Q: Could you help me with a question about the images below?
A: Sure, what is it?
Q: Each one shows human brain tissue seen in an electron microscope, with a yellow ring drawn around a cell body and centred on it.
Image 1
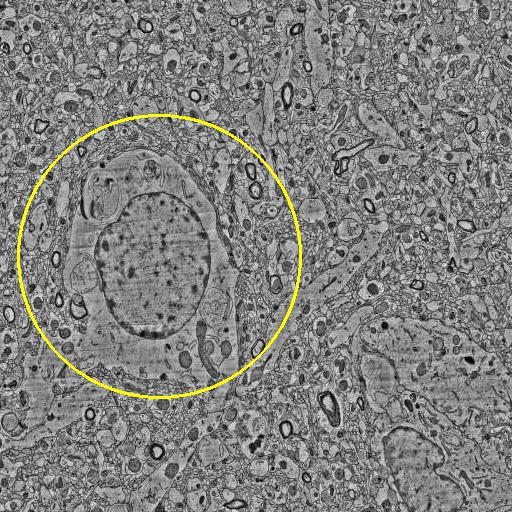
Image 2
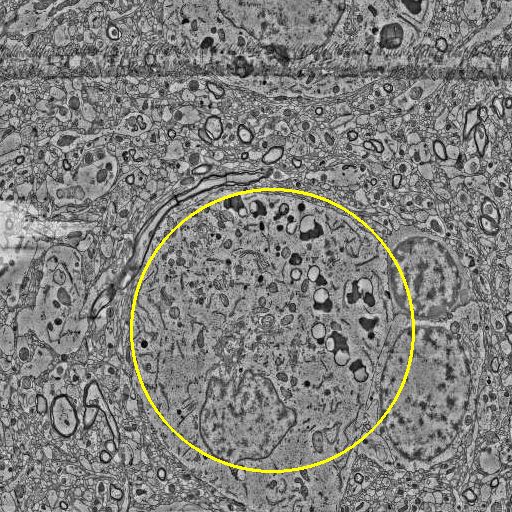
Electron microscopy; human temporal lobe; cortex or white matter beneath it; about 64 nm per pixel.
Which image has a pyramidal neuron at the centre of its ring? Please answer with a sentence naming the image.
Image 2 has it at the centre of its ring.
